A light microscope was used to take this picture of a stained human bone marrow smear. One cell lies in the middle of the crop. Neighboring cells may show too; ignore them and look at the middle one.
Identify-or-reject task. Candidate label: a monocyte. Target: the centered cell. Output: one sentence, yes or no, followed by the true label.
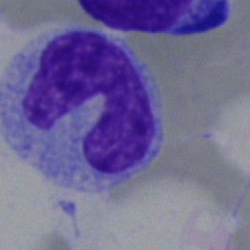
Yes, the cell at the centre is designated a monocyte.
